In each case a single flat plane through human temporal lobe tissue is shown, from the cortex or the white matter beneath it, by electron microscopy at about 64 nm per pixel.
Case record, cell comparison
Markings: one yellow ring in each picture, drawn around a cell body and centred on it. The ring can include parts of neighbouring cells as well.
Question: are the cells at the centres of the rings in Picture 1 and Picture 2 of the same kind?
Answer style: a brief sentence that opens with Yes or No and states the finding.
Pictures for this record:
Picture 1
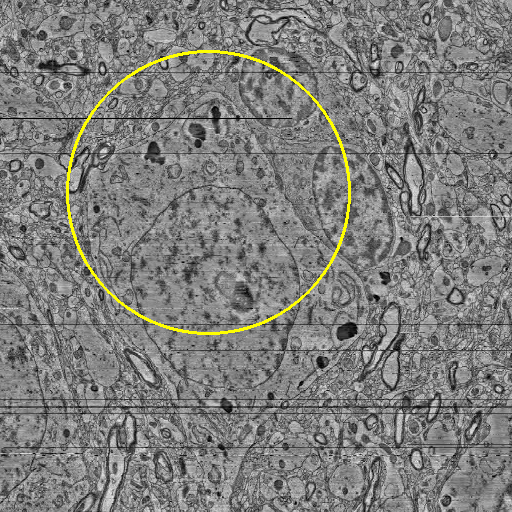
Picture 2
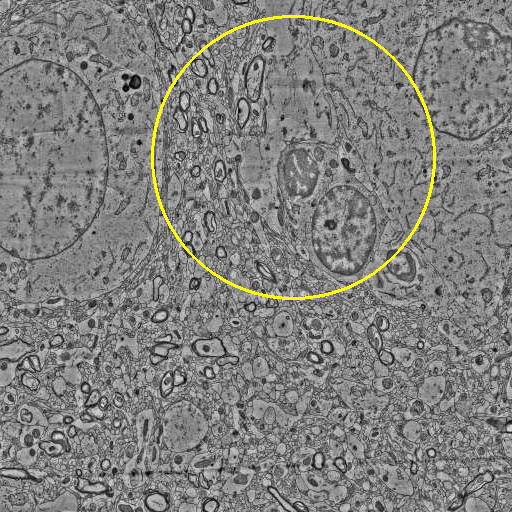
No, the cells in Picture 1 and Picture 2 are of two kinds.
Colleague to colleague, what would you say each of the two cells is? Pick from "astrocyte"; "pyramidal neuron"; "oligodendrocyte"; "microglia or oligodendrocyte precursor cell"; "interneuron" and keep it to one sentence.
The cell in the first picture is a pyramidal neuron; the second picture's cell is an oligodendrocyte.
